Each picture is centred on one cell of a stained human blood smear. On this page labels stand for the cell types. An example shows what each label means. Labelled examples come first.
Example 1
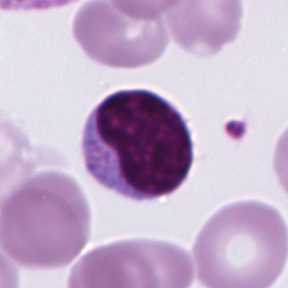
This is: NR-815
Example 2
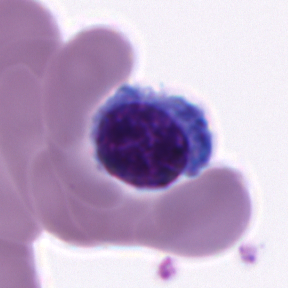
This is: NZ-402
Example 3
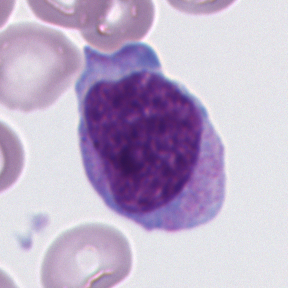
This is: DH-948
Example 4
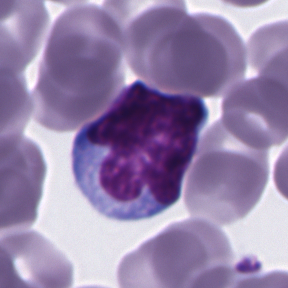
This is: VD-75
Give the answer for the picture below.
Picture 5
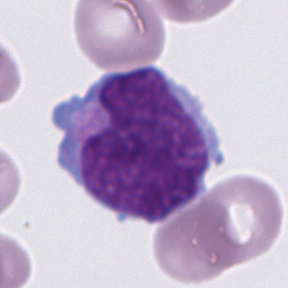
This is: DH-948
